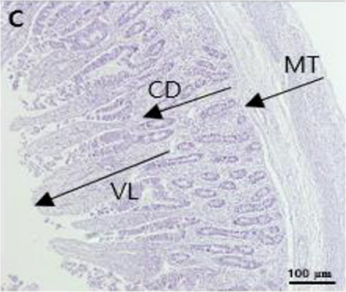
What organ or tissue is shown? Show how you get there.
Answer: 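Small intestine. Long finger-like projections of mucosa extend toward the lumen on the left. Tubular glands lie at the bases of the projections. A pale compact muscle band runs along the right edge.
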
